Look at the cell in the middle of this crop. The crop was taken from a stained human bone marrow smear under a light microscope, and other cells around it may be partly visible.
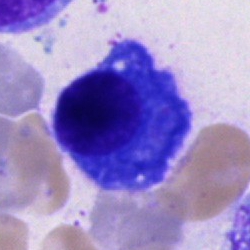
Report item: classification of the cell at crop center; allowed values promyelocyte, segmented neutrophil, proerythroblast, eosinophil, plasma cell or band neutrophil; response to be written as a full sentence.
Regarding the central cell, it is a plasma cell.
